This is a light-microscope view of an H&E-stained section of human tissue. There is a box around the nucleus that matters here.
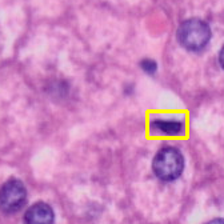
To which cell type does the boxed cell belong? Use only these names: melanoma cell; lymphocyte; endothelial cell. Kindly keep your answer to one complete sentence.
The cell type represented by the boxed cell is that of an endothelial cell.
